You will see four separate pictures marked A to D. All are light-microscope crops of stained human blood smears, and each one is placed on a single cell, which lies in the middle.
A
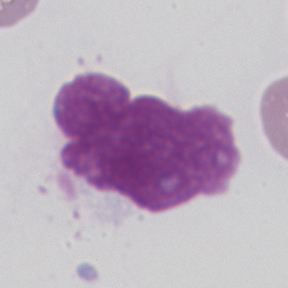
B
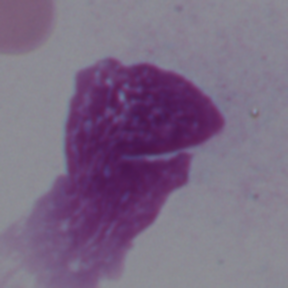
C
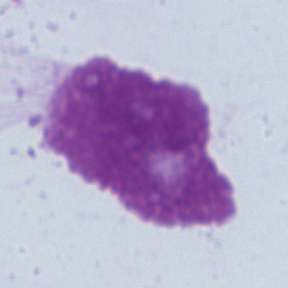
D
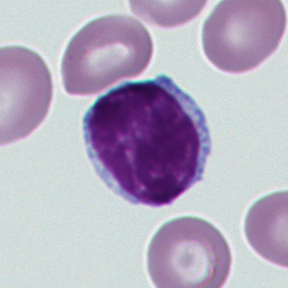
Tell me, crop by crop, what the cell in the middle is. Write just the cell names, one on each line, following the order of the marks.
smudge cell
smudge cell
smudge cell
typical lymphocyte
